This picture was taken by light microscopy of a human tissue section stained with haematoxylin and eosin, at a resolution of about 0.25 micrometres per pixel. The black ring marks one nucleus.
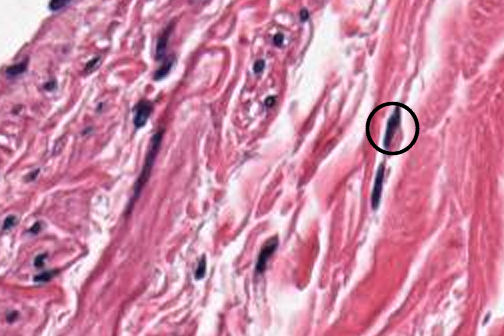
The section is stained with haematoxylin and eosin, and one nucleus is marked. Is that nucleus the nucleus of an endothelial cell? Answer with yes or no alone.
no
